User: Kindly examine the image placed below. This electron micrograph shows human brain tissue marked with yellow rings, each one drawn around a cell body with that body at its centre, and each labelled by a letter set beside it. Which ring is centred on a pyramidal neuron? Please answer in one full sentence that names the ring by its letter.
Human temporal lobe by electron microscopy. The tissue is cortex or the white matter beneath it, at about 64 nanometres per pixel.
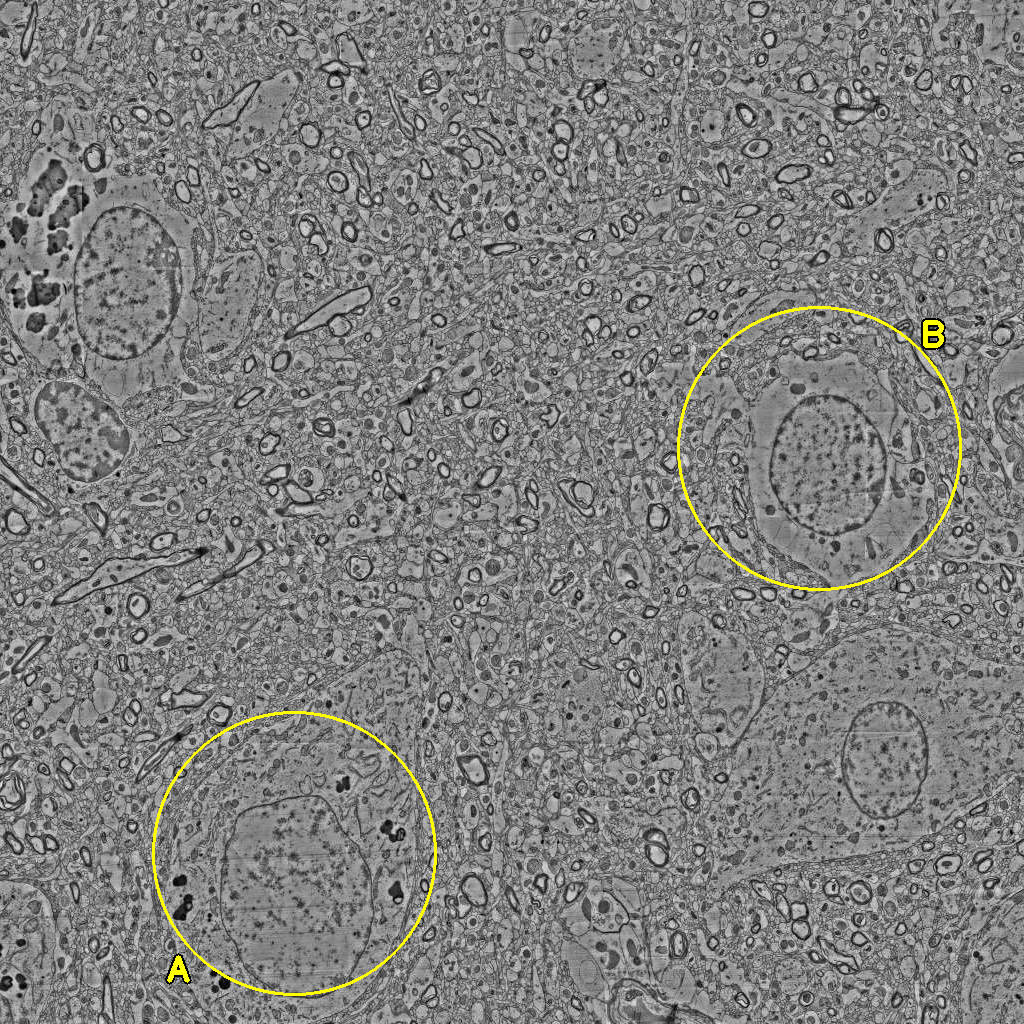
Ring A is the one drawn around the cell asked for.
